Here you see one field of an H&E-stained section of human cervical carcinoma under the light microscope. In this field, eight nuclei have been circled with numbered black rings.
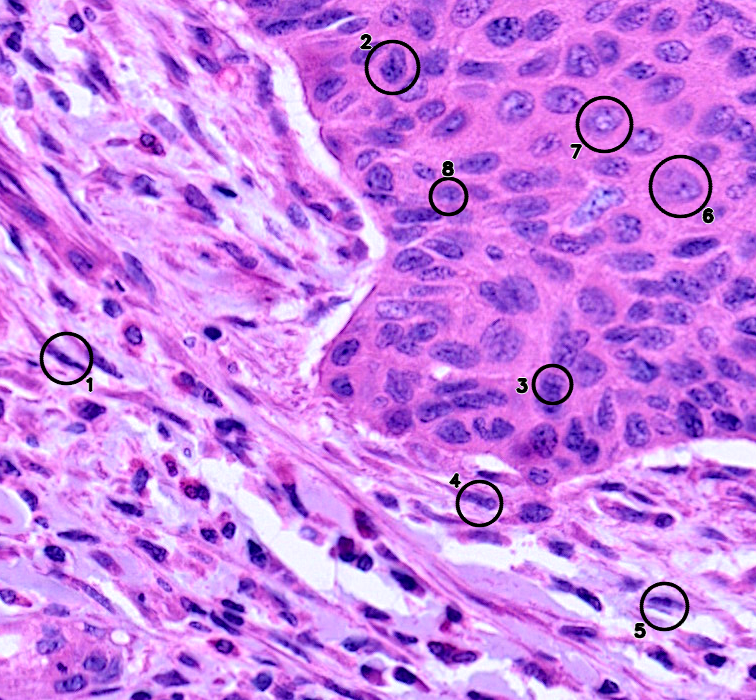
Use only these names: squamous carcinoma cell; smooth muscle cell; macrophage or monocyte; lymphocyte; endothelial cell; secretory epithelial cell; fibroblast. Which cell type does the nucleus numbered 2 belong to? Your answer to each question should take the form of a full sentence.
The cell bearing label 2 corresponds to a squamous carcinoma cell.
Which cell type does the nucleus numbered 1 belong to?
Nucleus 1 in this section belongs to a fibroblast.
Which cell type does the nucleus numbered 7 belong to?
The label 7 in this section denotes a squamous carcinoma cell.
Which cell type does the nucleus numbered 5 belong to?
The cell that bears the number 5 is a fibroblast.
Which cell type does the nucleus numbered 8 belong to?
The cell numbered 8 represents a squamous carcinoma cell.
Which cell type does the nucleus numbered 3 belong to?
The cell indicated with the number 3 is classed as a squamous carcinoma cell.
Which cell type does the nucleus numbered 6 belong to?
The cell with the number 6 is a squamous carcinoma cell.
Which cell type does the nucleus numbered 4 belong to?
The cell that is numbered 4 is a fibroblast.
